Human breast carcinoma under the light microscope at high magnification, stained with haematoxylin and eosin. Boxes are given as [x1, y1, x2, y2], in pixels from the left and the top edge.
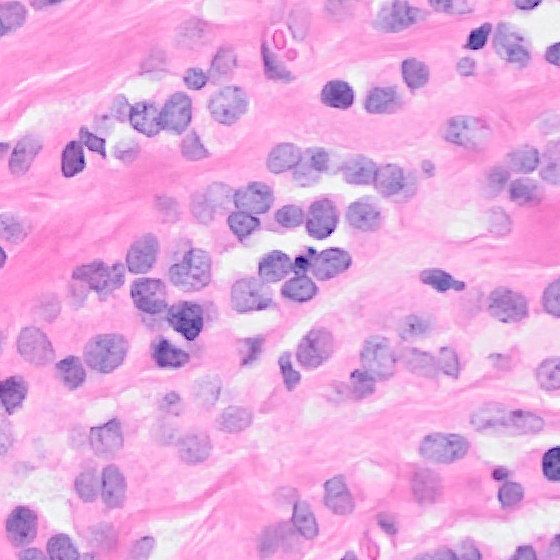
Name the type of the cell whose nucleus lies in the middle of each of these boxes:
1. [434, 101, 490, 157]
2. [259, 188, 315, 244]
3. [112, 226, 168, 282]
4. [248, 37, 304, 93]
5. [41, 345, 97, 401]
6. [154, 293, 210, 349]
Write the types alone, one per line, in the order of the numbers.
endothelial cell
carcinoma cell
carcinoma cell
endothelial cell
carcinoma cell
carcinoma cell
